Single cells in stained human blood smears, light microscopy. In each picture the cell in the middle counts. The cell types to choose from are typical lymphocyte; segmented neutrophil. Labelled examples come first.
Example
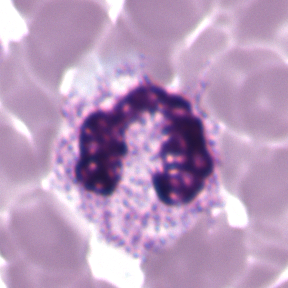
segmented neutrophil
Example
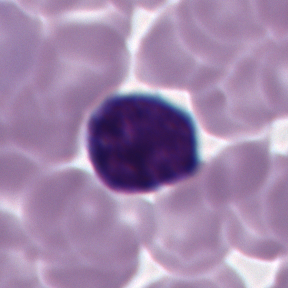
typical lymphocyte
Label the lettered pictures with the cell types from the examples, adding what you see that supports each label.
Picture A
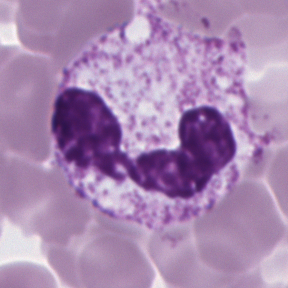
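segmented neutrophil. Reason: The nucleus is bent into a curved band whose open side faces the top of the picture.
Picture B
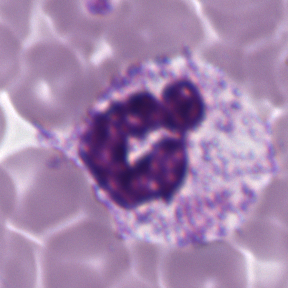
segmented neutrophil. Reason: The cytoplasm is plentiful and pale.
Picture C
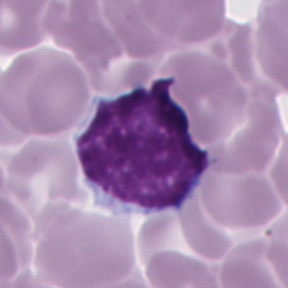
typical lymphocyte. Reason: The cytoplasm forms only a very thin rim around the nucleus.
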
